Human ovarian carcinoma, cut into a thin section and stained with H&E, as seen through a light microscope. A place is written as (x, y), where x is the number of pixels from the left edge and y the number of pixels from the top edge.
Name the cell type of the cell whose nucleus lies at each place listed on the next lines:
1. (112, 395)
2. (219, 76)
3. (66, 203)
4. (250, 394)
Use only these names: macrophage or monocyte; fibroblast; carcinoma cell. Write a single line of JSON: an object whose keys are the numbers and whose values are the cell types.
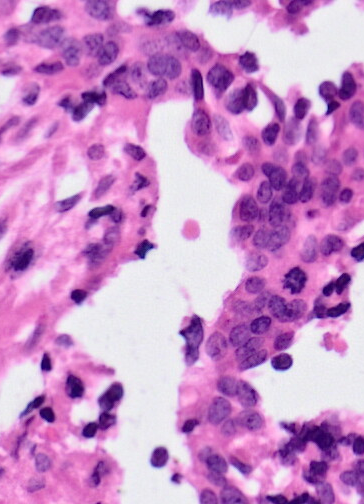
{"1": "carcinoma cell", "2": "carcinoma cell", "3": "fibroblast", "4": "carcinoma cell"}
